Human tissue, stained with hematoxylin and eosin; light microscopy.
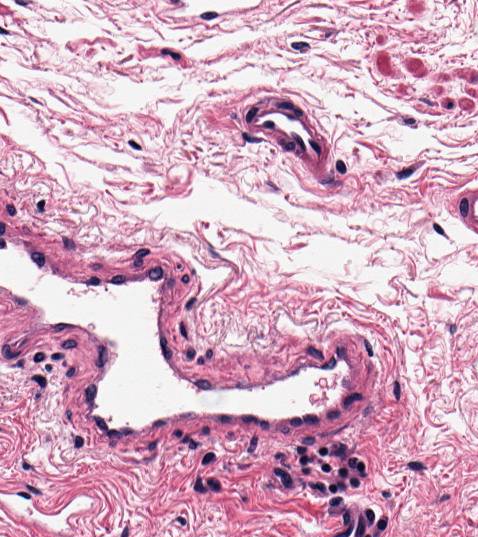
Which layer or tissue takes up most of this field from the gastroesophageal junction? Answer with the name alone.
loose connective tissue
